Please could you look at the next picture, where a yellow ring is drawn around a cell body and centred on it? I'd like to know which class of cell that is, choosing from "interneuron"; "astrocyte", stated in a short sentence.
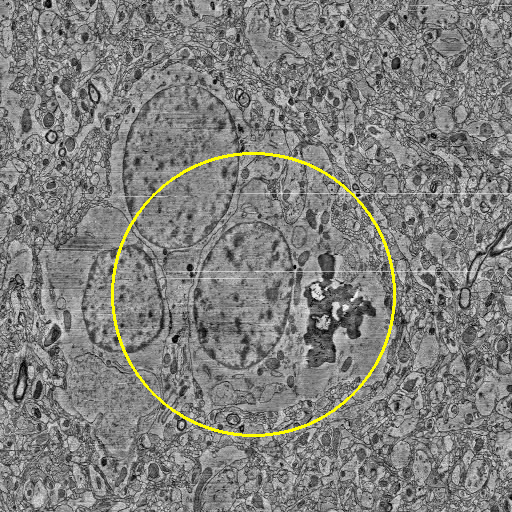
The ring's centre lies on an astrocyte.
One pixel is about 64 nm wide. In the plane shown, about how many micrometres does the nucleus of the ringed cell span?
The nucleus is approximately 10 micrometres long but only about 6 wide, clearly longer than it is wide in this plane.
